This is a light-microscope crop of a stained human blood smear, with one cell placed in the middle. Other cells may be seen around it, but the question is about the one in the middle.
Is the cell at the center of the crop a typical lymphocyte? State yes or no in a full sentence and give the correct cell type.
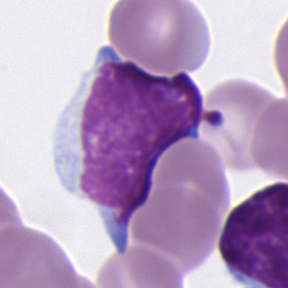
Yes, the middle cell in this crop is a typical lymphocyte.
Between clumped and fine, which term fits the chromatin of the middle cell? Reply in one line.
The nuclear chromatin is fine, showing no coarse aggregates.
